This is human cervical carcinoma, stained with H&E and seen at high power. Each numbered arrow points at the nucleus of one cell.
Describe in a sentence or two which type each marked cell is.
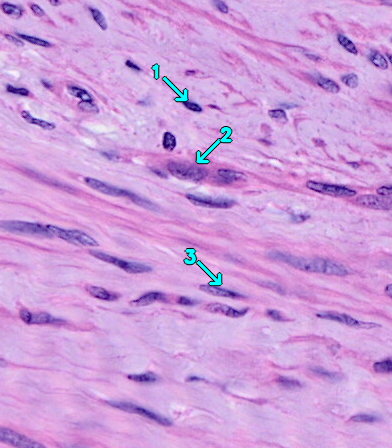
Cell 1 is a fibroblast, cell 2 is an endothelial cell and cell 3 is a smooth muscle cell.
